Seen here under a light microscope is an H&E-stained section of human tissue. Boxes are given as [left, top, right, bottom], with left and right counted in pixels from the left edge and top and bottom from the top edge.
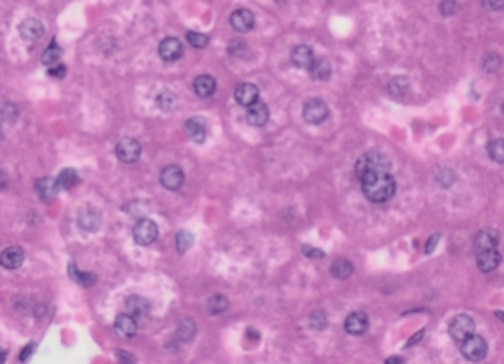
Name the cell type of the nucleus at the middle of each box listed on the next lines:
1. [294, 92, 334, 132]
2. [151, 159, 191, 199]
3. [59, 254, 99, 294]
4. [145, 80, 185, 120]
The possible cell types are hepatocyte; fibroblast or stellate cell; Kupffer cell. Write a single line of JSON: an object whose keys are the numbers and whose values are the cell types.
{"1": "hepatocyte", "2": "hepatocyte", "3": "fibroblast or stellate cell", "4": "hepatocyte"}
